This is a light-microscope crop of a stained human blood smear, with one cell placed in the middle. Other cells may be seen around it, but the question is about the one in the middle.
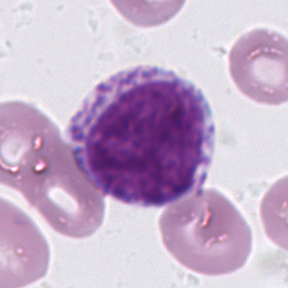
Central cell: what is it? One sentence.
In the centre of this crop there is a myelocyte.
